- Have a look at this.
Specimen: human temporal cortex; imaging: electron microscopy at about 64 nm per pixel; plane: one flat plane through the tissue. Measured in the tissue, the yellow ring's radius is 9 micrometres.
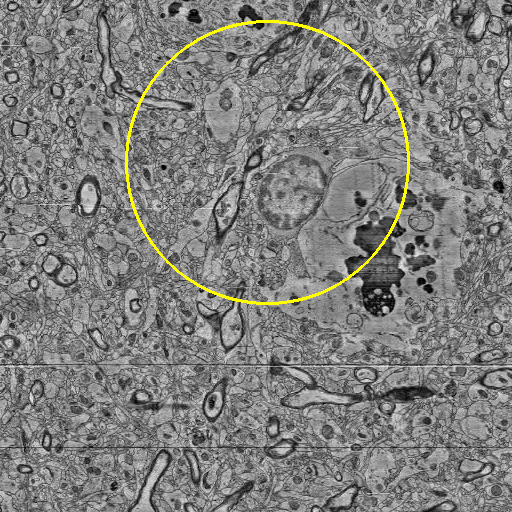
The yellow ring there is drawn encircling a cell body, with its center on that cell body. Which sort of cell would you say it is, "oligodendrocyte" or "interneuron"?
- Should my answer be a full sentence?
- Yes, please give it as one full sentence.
For this picture, an oligodendrocyte is the cell where the yellow ring has its center.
